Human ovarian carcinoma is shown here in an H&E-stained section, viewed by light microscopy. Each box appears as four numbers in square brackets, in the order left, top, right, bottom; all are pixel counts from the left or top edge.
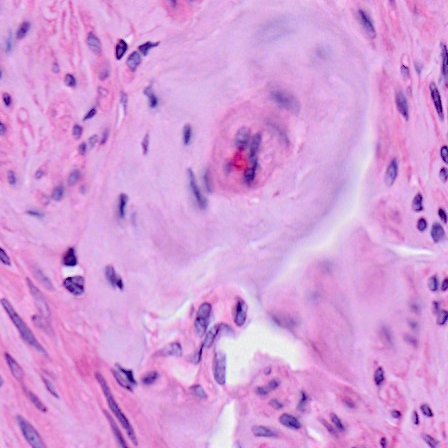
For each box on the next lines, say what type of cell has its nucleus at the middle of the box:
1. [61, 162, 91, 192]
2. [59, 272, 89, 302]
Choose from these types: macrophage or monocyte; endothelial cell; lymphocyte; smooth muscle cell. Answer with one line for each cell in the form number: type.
1: smooth muscle cell
2: lymphocyte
